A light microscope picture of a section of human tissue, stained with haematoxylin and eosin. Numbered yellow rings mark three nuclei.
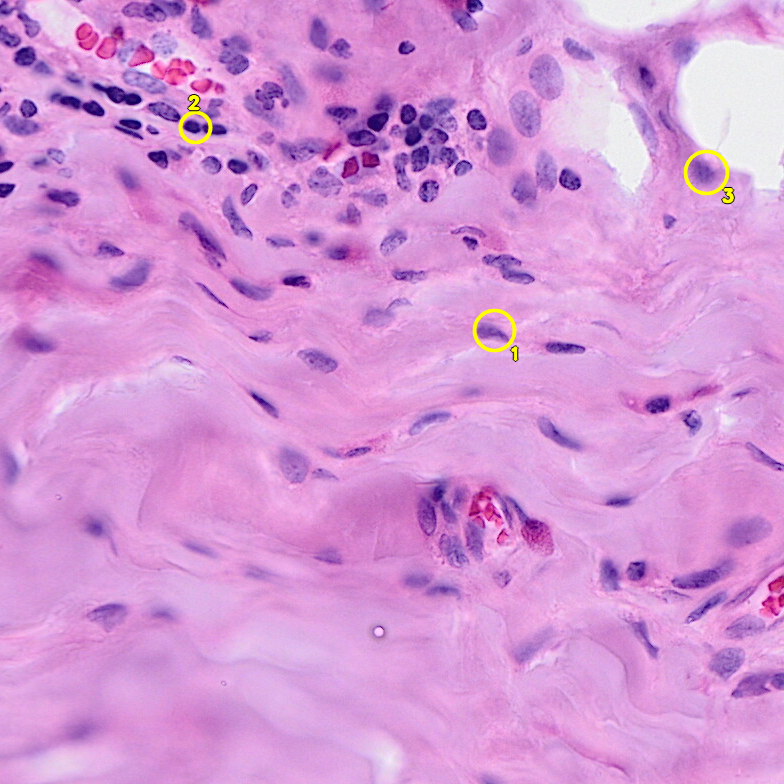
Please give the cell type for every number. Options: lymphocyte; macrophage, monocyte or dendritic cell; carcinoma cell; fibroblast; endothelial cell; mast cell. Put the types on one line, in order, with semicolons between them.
fibroblast; lymphocyte; fibroblast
